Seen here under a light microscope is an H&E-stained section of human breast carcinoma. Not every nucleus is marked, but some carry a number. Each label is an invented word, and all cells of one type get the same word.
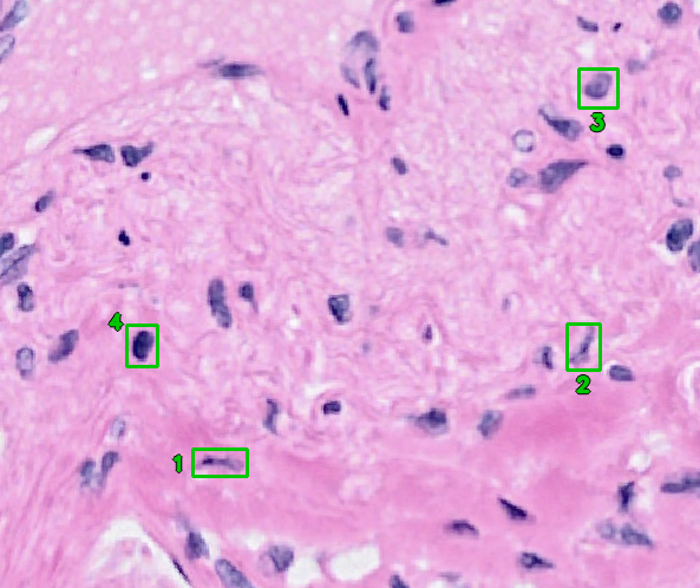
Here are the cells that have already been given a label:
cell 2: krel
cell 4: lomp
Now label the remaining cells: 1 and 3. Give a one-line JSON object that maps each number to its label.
{"1": "krel", "3": "lomp"}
